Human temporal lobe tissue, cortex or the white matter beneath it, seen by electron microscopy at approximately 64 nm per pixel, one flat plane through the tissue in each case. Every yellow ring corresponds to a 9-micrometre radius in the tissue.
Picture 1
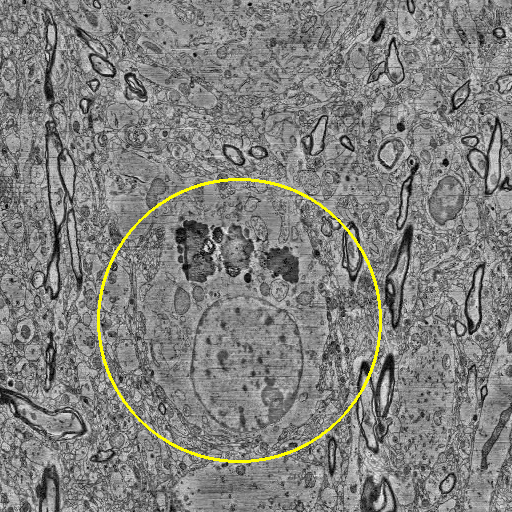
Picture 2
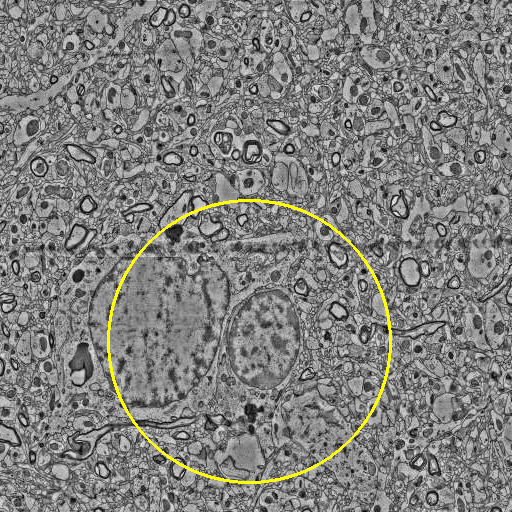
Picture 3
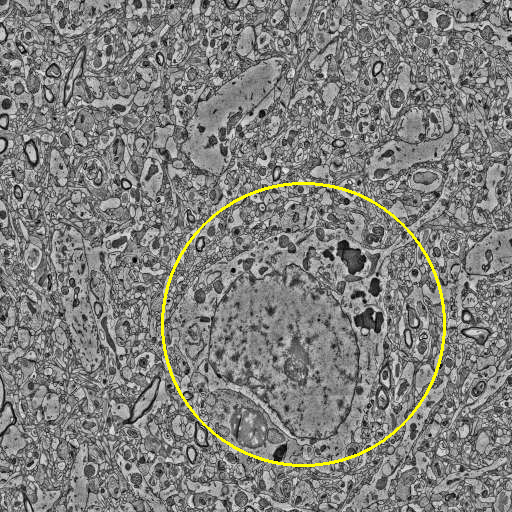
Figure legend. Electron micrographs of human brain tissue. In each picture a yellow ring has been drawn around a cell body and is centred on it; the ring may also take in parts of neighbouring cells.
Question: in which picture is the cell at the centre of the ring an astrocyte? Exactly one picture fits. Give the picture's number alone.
1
